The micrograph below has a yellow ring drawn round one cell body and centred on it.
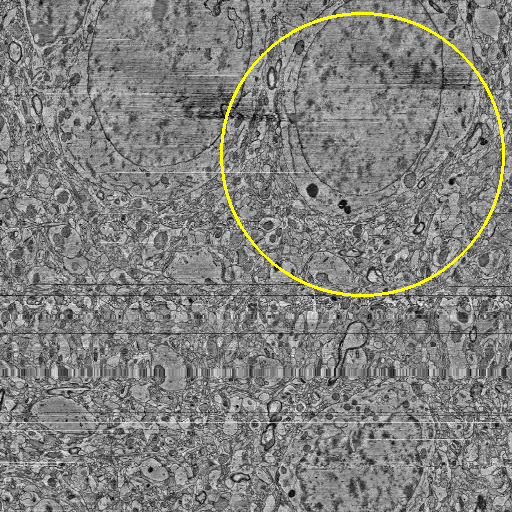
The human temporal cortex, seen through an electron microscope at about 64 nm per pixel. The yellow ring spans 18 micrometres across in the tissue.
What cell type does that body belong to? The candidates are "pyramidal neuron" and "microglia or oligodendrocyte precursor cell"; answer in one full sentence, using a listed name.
This is a pyramidal neuron, the cell whose body lies at the centre of the ring.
